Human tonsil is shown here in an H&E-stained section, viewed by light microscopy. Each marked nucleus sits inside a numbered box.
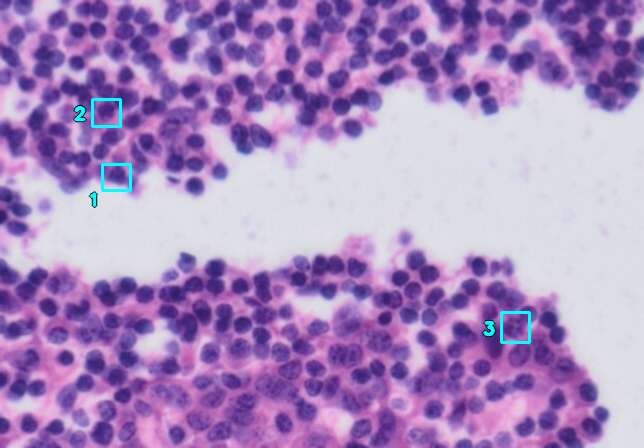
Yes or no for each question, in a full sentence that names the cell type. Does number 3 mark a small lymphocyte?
No, cell 3 has been misnamed; it is a plasma cell, not a small lymphocyte.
